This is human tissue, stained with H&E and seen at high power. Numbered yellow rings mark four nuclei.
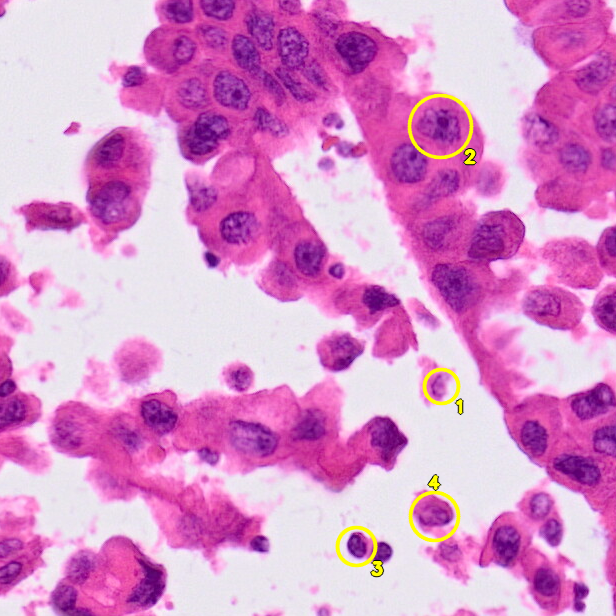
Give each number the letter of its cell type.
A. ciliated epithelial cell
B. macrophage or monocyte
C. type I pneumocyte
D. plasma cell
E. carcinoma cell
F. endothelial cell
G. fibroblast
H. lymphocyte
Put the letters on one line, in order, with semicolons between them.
B; E; H; B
